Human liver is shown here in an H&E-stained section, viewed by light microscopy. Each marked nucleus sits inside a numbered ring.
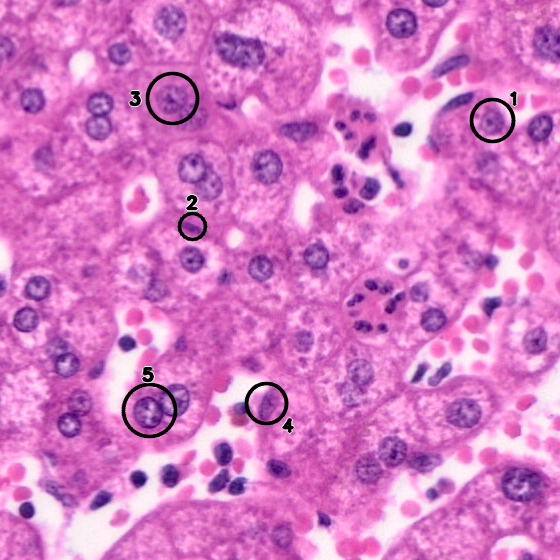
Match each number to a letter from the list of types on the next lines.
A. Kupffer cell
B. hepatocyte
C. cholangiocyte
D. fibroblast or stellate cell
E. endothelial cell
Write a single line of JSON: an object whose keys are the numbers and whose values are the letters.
{"1": "B", "2": "D", "3": "B", "4": "A", "5": "B"}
